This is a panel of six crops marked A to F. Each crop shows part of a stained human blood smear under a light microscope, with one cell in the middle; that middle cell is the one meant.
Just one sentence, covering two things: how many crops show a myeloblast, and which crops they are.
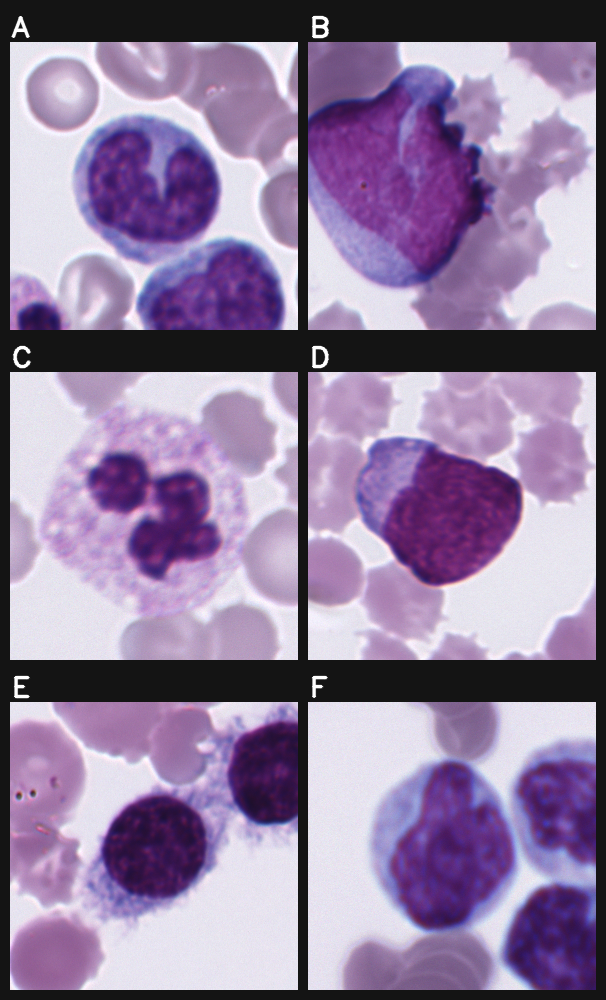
Represented by two crops, B and D, are myeloblasts.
